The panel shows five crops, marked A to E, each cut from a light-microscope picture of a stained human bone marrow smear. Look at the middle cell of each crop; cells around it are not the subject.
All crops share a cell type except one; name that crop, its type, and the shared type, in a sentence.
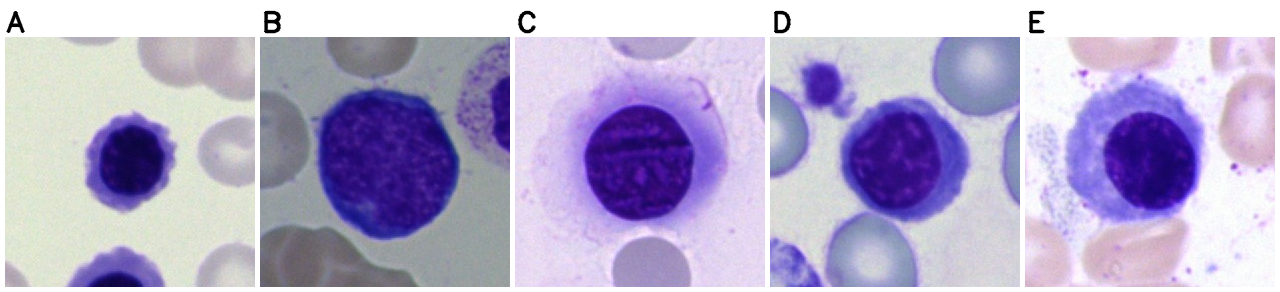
Only crop B differs, being a blast, while the others all show erythroblasts.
